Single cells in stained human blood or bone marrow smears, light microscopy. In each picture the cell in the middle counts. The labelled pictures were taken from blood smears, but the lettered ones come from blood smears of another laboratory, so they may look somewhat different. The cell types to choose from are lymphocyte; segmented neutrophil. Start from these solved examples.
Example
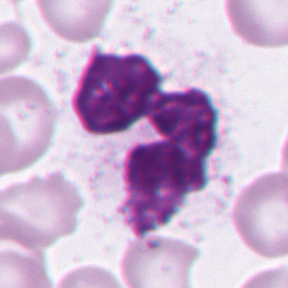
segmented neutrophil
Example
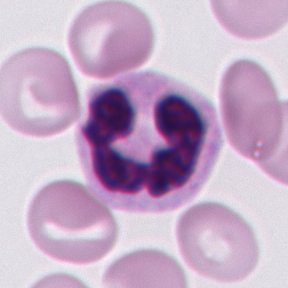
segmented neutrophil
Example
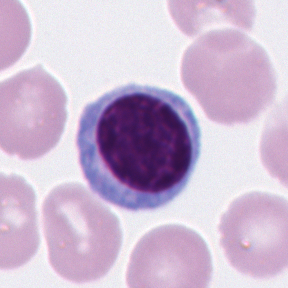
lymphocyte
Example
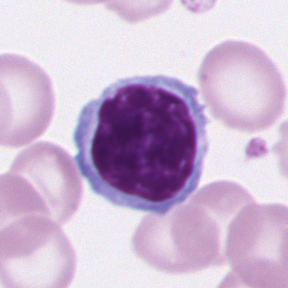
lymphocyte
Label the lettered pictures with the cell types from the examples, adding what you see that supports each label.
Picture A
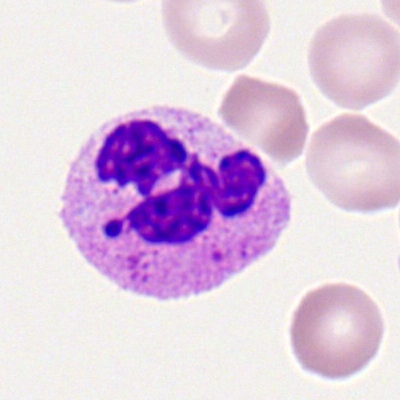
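Answer: segmented neutrophil. The cytoplasm is plentiful and pale pink-lilac.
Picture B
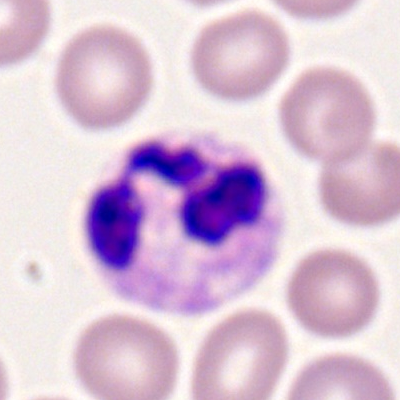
Answer: segmented neutrophil. The cytoplasm is abundant and pale pinkish-lilac.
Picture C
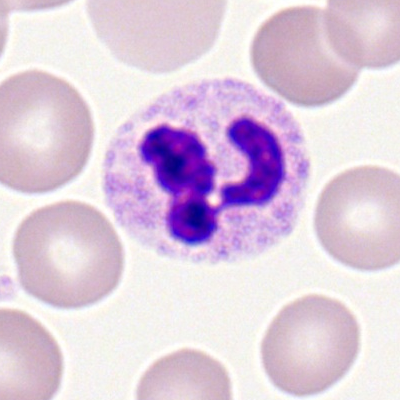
Answer: segmented neutrophil. The nucleus is divided into three lobes.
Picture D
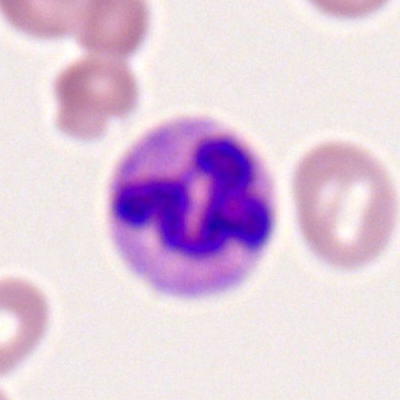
Answer: segmented neutrophil. The cytoplasm is plentiful and pale pinkish-lilac.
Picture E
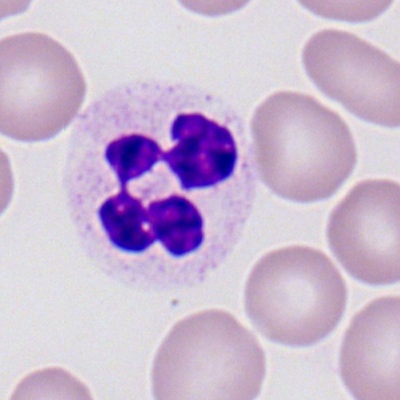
Answer: segmented neutrophil. The nucleus is divided into four separate lobes.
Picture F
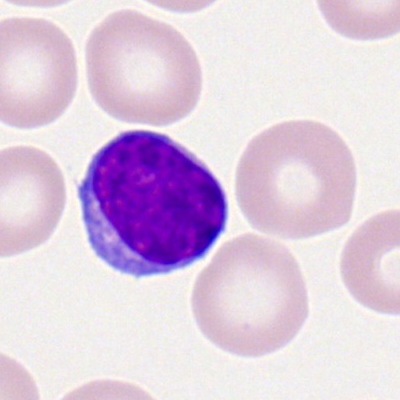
Answer: lymphocyte. The nucleus fills most of the cell, leaving little cytoplasm.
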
